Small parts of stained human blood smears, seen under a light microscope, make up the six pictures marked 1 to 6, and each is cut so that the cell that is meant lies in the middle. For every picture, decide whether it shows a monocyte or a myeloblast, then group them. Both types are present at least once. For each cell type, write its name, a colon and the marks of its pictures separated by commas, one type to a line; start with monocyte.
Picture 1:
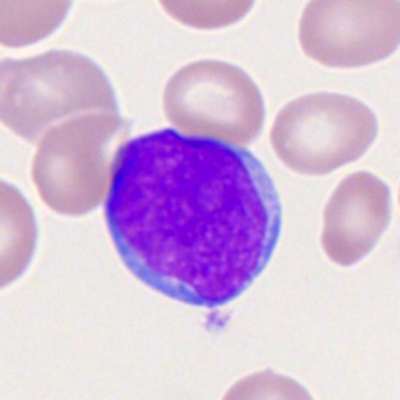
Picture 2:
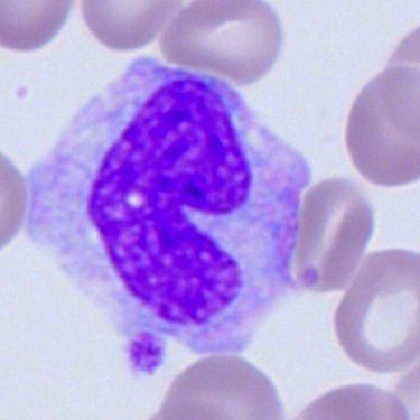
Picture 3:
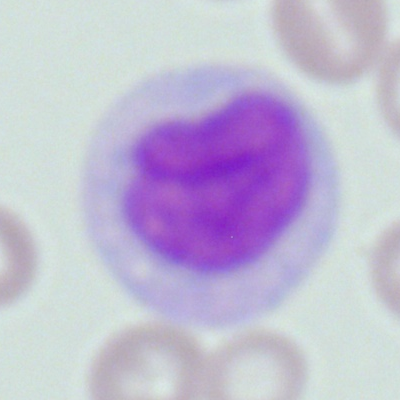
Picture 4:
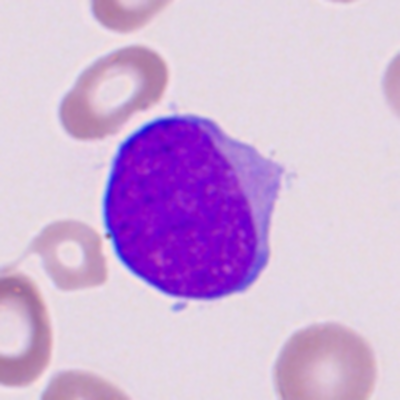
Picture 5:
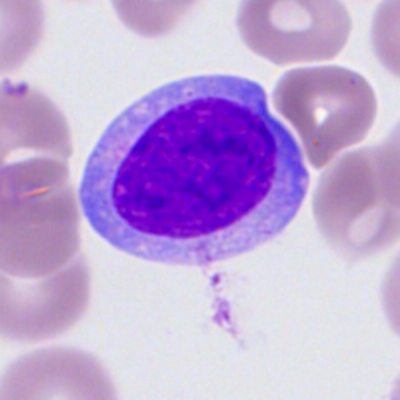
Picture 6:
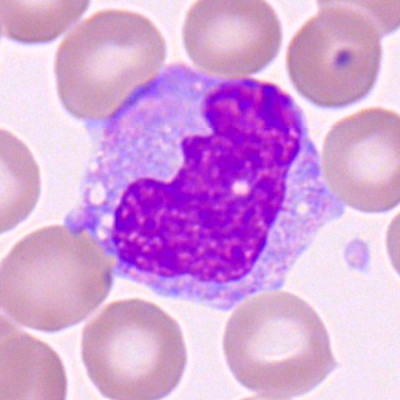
monocyte: 2, 3, 6
myeloblast: 1, 4, 5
